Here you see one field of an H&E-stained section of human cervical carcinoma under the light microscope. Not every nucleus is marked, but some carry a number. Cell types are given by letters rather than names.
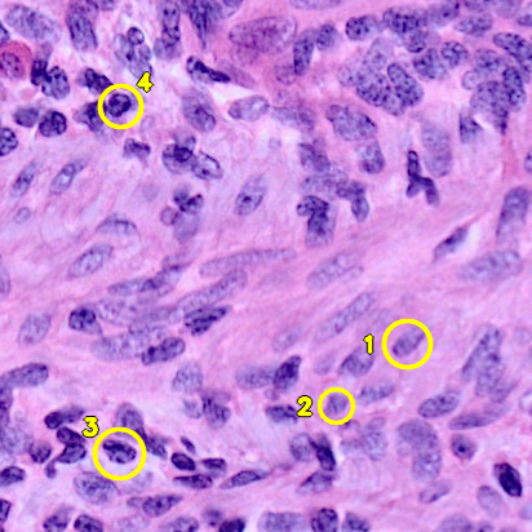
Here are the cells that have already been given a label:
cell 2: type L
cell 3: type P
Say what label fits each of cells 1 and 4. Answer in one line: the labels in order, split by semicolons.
type L; type P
